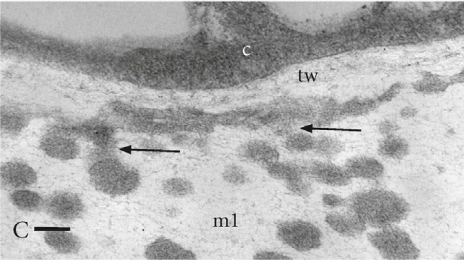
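At high magnification the edge of a tapetal cell shows a dark, finely granular cytoplasm above a pale, electron-lucent wall. Beneath the wall runs a band of dense material with round dense globules stuck to it, and many similar globules float in the matrix below.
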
